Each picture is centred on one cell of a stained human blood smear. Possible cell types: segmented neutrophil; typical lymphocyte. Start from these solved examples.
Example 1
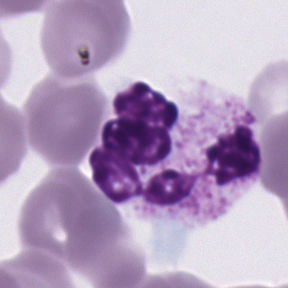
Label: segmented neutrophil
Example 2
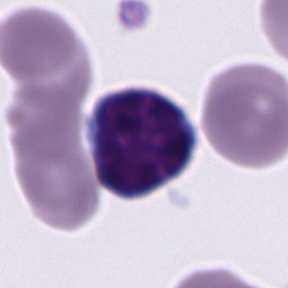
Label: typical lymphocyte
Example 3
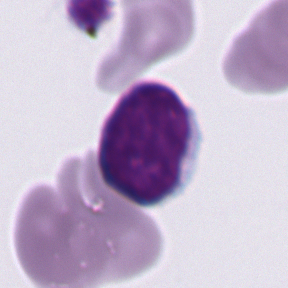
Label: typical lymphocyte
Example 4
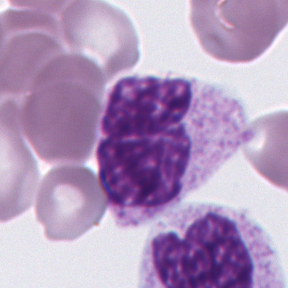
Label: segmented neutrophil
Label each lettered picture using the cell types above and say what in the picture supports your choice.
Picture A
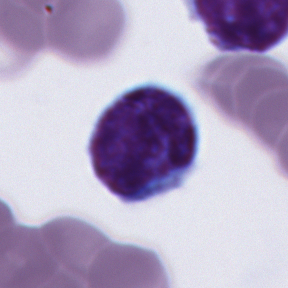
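Answer: typical lymphocyte. The cytoplasm forms only a thin rim around the nucleus.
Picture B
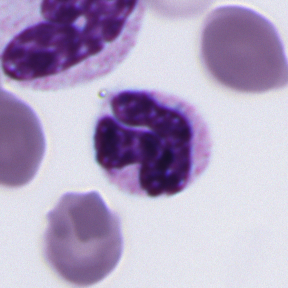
Answer: segmented neutrophil. The cytoplasm is pale pink.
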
